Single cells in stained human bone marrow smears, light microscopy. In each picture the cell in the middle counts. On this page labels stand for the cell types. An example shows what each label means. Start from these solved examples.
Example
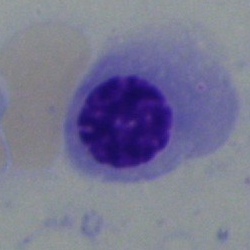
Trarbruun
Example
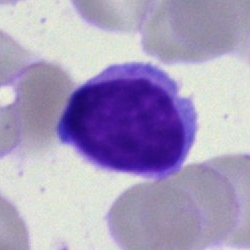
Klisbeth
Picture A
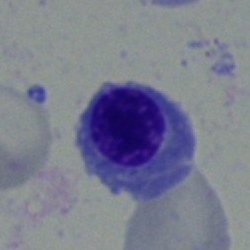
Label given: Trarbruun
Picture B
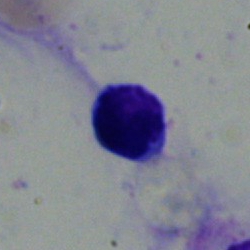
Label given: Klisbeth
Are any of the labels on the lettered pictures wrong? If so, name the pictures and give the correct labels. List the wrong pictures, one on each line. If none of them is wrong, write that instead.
Nothing to fix; every label fits.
